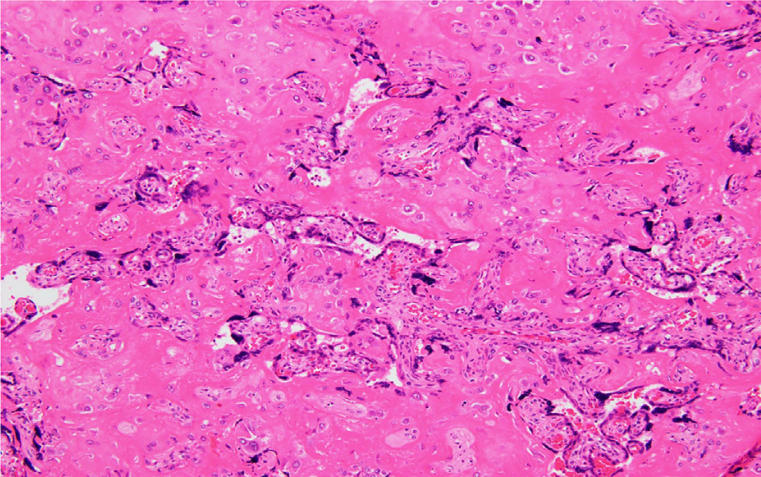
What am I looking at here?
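Placental villi lie scattered within a large amount of homogeneous, bright pink, glassy material that fills the spaces between them. The villi are small, slender, branching profiles. Dark purple nuclei of the covering trophoblast line their borders, and a few tiny vessels inside the villous cores hold red blood cells. Some small open spaces lie between villi. Within the pink material sit scattered rounded cells with pale cytoplasm and round nuclei. The picture is of perivillous fibrin deposition encasing small, rather atrophic villi whose capillaries look narrow, while the villi are still nucleated and not necrotic.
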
